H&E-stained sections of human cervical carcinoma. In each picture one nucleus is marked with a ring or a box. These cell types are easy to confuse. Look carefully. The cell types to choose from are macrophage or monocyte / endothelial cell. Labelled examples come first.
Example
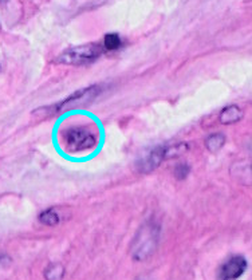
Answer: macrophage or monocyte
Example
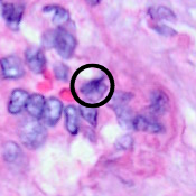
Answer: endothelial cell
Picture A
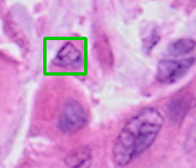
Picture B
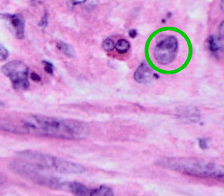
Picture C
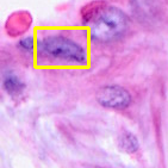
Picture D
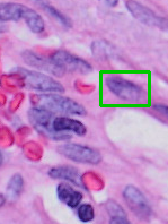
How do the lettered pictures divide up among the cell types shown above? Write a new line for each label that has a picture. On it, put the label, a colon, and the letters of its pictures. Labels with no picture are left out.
macrophage or monocyte: A, B
endothelial cell: C, D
